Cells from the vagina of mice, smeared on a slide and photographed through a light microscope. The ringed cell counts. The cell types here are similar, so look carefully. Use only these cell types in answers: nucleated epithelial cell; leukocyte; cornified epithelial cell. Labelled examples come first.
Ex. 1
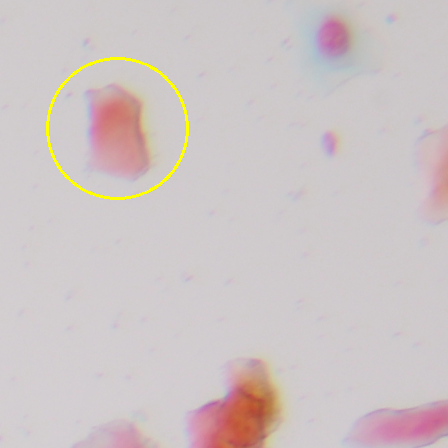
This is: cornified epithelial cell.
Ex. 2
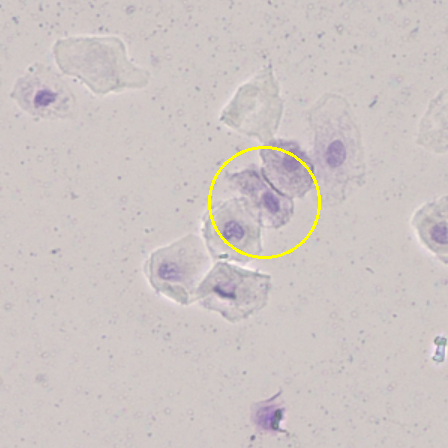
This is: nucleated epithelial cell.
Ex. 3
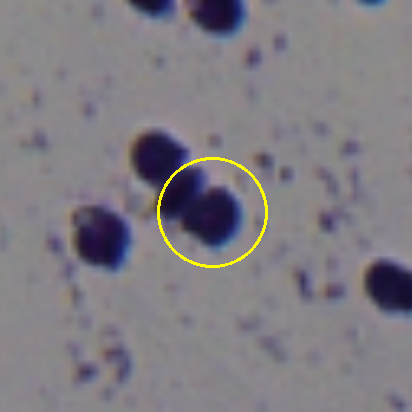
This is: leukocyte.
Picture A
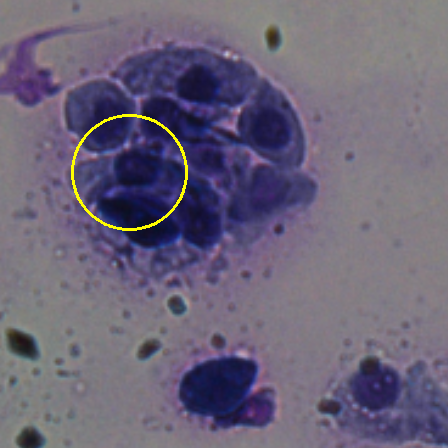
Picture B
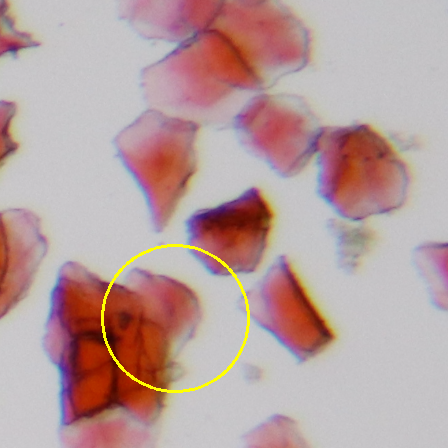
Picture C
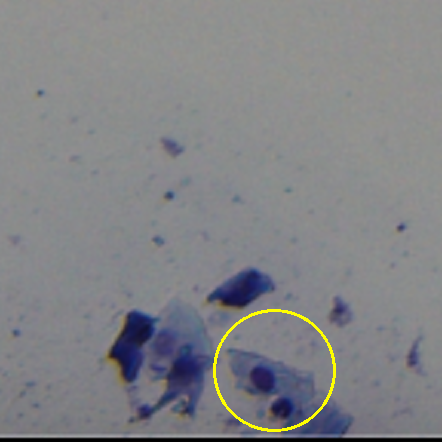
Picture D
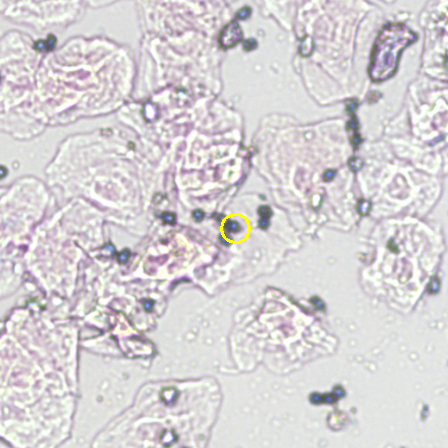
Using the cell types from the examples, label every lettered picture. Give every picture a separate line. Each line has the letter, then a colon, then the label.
A: nucleated epithelial cell.
B: cornified epithelial cell.
C: nucleated epithelial cell.
D: leukocyte.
